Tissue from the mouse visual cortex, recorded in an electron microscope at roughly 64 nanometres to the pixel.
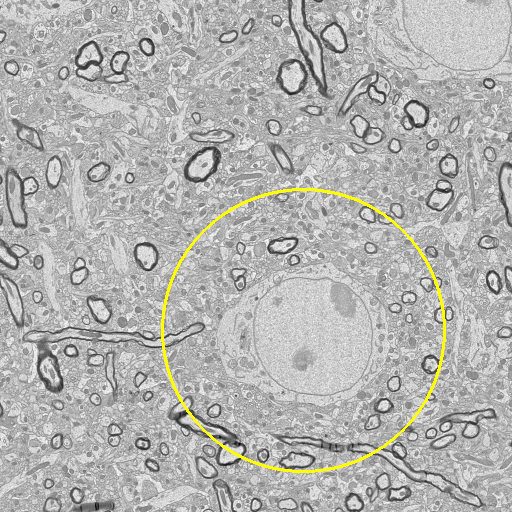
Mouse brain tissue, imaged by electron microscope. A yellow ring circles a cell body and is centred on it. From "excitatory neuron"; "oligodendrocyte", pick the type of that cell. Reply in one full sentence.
The cell body at the centre of the yellow ring belongs to an excitatory neuron.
